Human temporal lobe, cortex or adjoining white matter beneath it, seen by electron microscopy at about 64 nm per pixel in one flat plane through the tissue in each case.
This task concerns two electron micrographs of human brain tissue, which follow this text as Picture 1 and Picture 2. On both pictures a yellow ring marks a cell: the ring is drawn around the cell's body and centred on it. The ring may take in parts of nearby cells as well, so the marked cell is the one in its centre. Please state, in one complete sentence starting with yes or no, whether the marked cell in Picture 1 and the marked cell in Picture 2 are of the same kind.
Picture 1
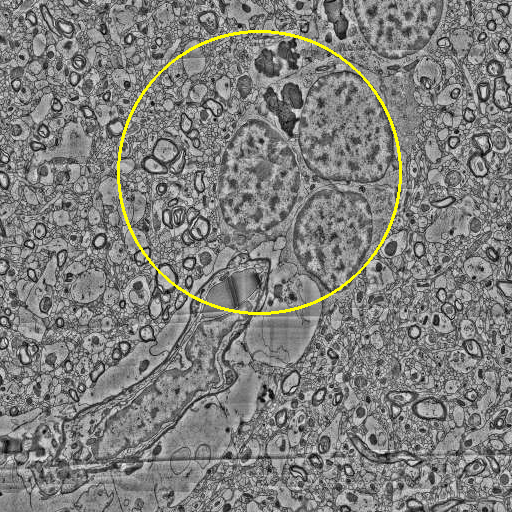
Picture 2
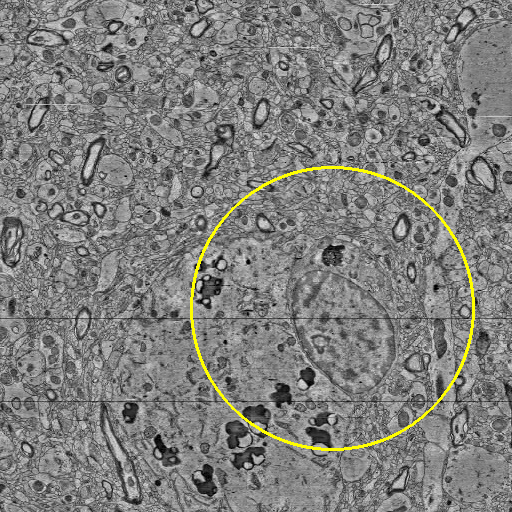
Yes, the marked cells in both pictures are of the same kind.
